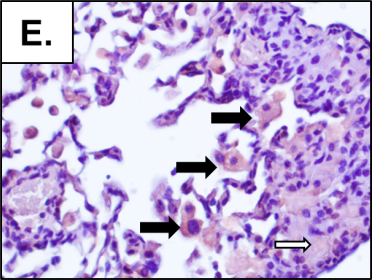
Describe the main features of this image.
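Lung at high magnification, with macrophages lying in the air spaces and a dense cellular area of tissue to the right. The macrophages are large, rounded, free-floating cells with abundant pink-red cytoplasm and a single round, blue nucleus. On the right, the normal airy architecture is replaced by a crowded mass of cells with many packed blue-purple nuclei. Patches of pale pink-red stain lie among these cells. Pink amorphous material fills some spaces near the mass.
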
